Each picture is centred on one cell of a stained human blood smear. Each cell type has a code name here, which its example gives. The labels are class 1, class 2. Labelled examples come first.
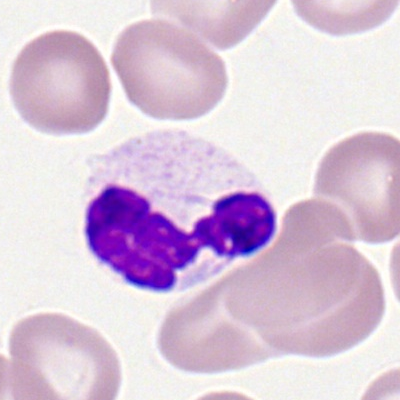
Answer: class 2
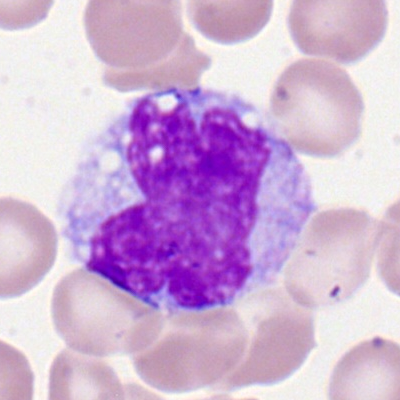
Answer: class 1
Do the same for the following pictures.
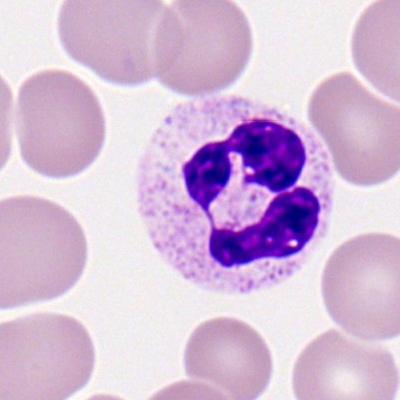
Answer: class 2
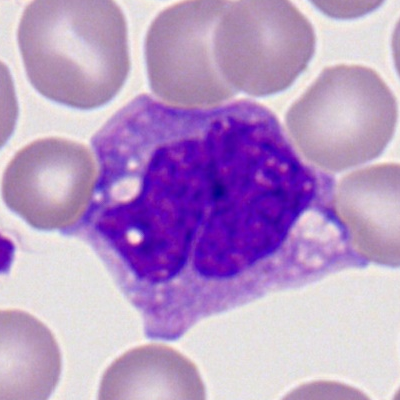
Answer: class 1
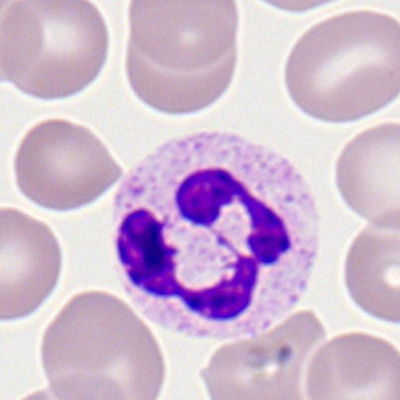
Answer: class 2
